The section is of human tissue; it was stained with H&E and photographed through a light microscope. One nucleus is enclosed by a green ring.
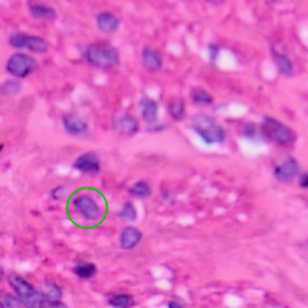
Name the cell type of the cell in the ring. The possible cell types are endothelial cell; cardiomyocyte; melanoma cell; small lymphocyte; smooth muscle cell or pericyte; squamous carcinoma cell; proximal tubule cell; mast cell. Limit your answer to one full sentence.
On this particular slide, the cell in the ring is a smooth muscle cell or pericyte.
